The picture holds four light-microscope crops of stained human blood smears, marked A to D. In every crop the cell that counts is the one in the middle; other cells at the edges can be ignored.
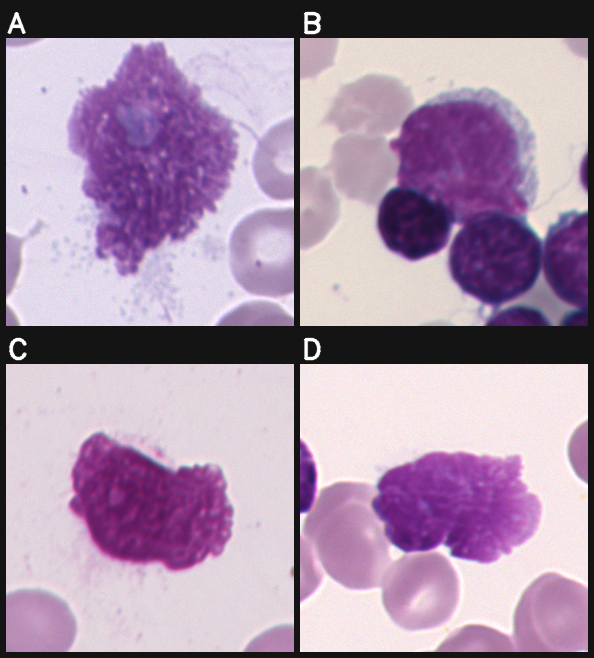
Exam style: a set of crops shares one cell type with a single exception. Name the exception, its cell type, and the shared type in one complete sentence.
Identified in crop B is a myeloblast, whereas the other crops all show smudge cells.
